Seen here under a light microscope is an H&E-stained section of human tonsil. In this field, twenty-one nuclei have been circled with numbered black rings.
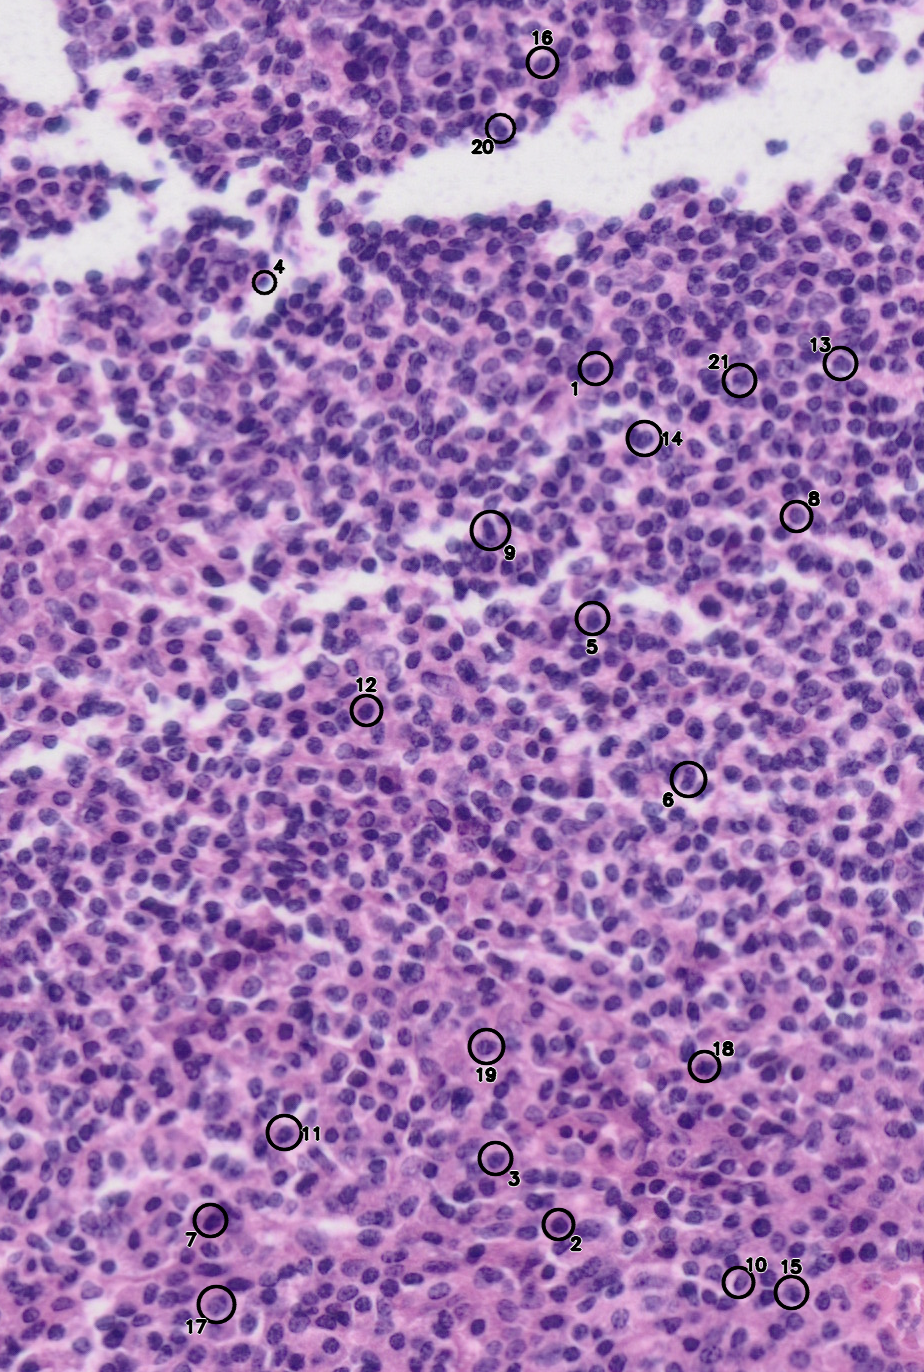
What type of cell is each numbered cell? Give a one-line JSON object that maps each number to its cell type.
{"1": "small lymphocyte", "2": "plasma cell", "3": "plasma cell", "4": "small lymphocyte", "5": "small lymphocyte", "6": "small lymphocyte", "7": "plasma cell", "8": "small lymphocyte", "9": "small lymphocyte", "10": "plasma cell", "11": "plasma cell", "12": "plasma cell", "13": "small lymphocyte", "14": "small lymphocyte", "15": "plasma cell", "16": "small lymphocyte", "17": "plasma cell", "18": "plasma cell", "19": "plasma cell", "20": "small lymphocyte", "21": "small lymphocyte"}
